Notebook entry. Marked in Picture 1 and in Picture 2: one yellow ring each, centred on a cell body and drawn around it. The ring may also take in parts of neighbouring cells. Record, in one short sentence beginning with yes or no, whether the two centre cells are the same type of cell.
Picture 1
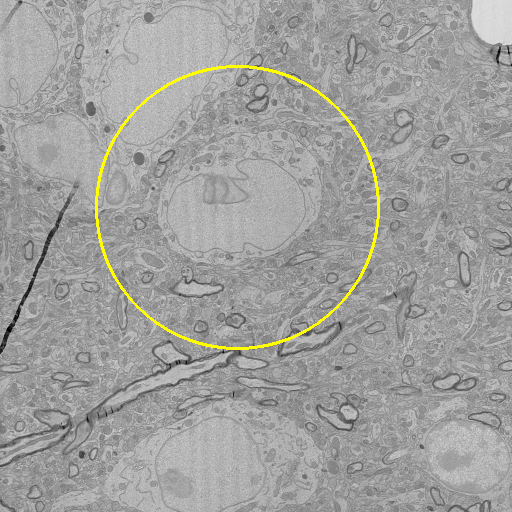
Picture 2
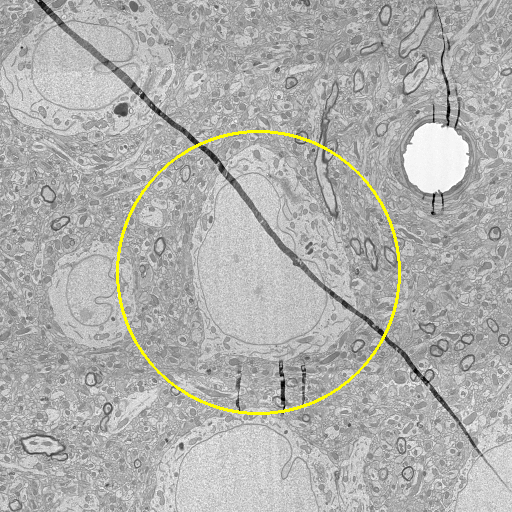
Yes, both are the same type of cell.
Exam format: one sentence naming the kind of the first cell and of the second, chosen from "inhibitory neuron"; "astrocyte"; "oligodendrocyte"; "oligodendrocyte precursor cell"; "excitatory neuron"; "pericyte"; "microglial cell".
Each of the two pictures has an excitatory neuron at the ring centre.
